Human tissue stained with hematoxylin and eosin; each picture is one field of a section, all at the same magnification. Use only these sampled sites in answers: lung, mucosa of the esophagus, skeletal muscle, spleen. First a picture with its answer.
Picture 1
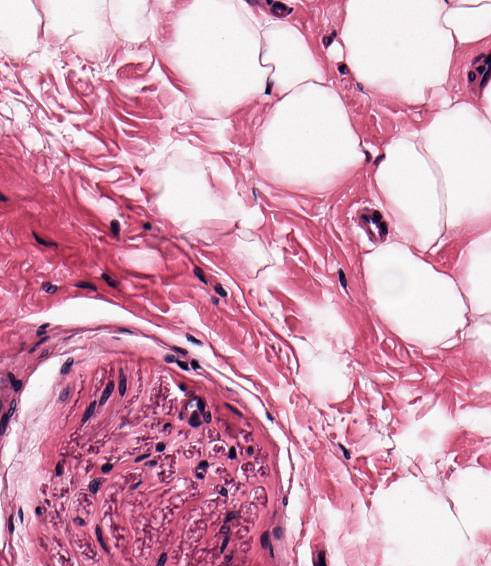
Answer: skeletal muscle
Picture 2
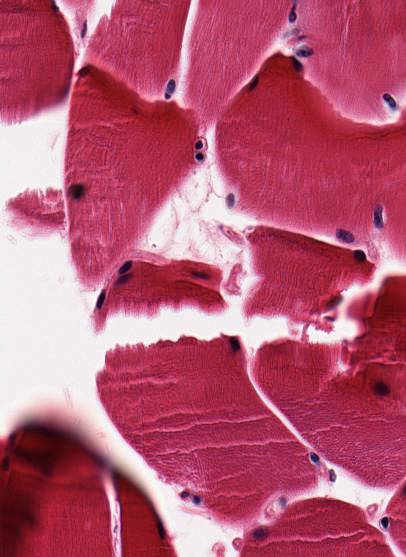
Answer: skeletal muscle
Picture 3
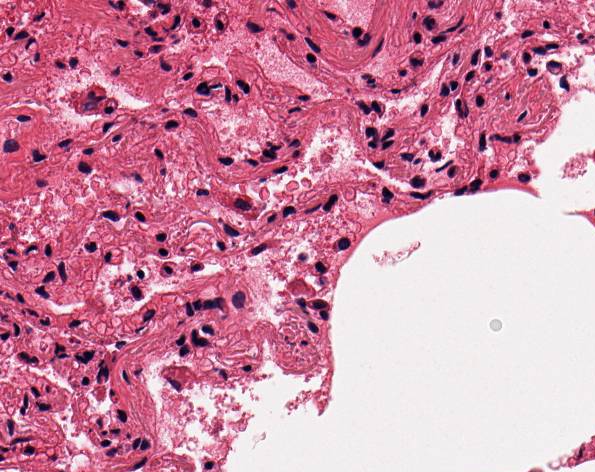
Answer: lung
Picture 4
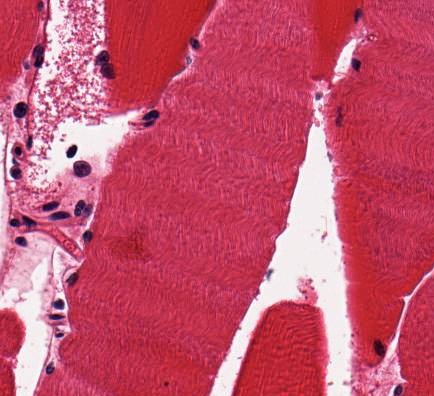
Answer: skeletal muscle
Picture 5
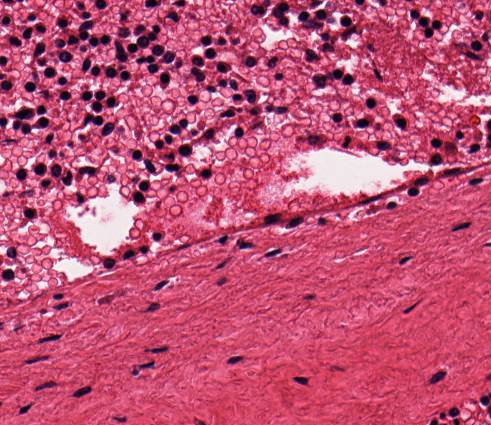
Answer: spleen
